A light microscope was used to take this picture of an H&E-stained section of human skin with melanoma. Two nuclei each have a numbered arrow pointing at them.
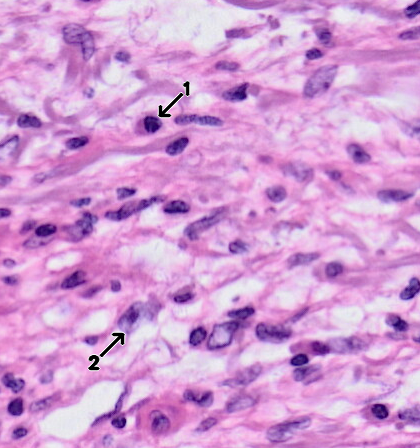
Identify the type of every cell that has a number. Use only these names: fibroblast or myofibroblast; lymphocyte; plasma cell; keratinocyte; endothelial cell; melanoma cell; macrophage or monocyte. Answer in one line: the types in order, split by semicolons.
plasma cell; fibroblast or myofibroblast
